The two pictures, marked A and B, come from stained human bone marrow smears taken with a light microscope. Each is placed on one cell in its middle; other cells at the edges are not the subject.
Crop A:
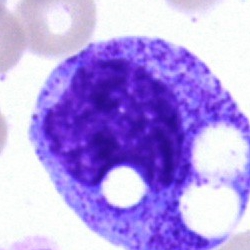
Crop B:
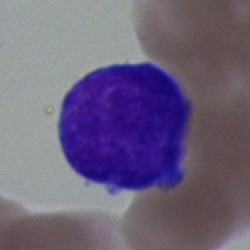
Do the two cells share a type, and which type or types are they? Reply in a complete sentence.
No, in crop B the central cell is a blast, and in crop A it is a promyelocyte.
